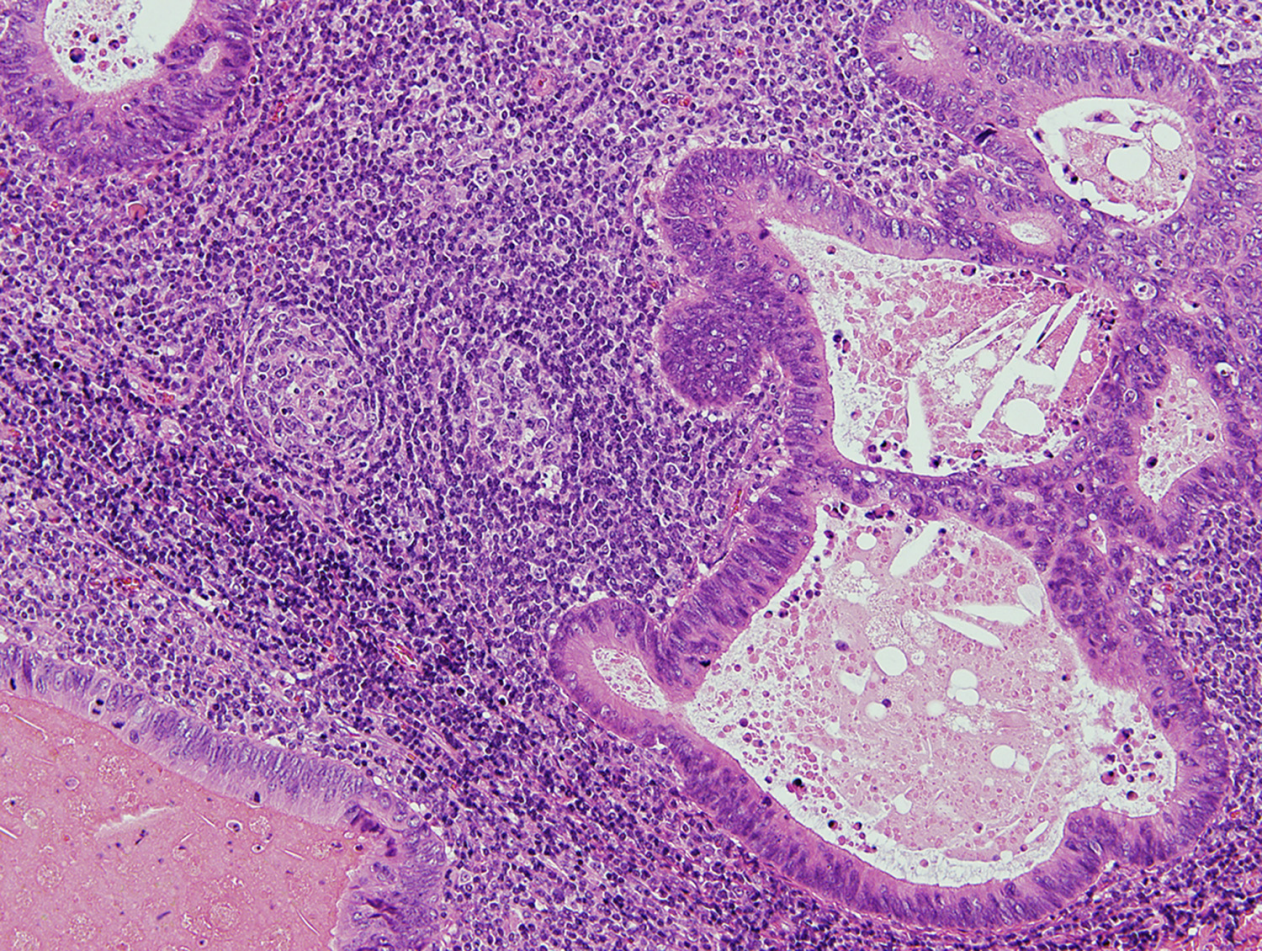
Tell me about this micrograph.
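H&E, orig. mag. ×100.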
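This is a well differentiated adenocarcinoma: irregular, branching glands set within dense lymphoid tissue. The glands are lined by tall columnar cells whose elongated, dark purple nuclei are crowded and stacked in several layers, with a rim of pinker cytoplasm toward the lumen. The gland lumens are wide and filled with pink granular debris containing cell fragments, dark nuclear fragments, clear round spaces and thin slit-like clefts. Between the glands lies a dense sheet of small round cells with dark nuclei and scant cytoplasm. At left centre a rounded, paler nodule of larger cells stands out from these dark cells as a lymphoid follicle.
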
